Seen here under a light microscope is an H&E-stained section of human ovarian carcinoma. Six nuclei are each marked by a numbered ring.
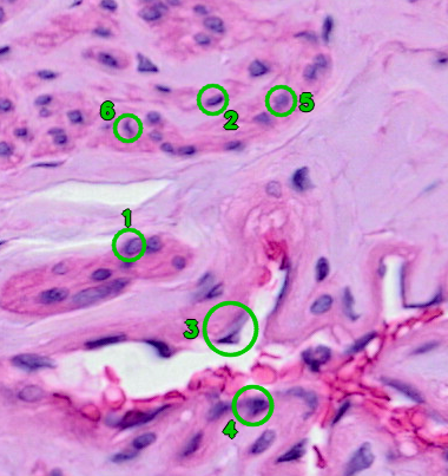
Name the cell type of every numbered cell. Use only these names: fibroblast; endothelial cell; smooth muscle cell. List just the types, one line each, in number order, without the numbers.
smooth muscle cell
smooth muscle cell
endothelial cell
endothelial cell
smooth muscle cell
smooth muscle cell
